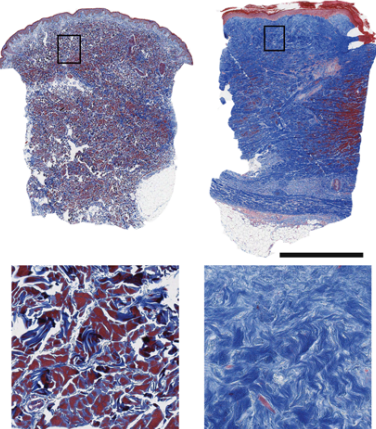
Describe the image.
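In the left section the tissue is a loose mixture of red and purple areas threaded by thinner blue fibres, with clear spaces between the bundles. In the right section blue-staining fibres fill almost the whole depth as a dense, compact mass, and red is confined mostly to the thin surface layer and a few scattered strands. At higher power the left field shows broad red areas separated by wavy blue bands, whereas the right field is a tightly packed meshwork of blue fibres with almost no red.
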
